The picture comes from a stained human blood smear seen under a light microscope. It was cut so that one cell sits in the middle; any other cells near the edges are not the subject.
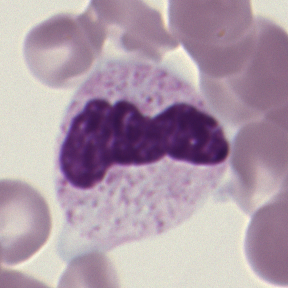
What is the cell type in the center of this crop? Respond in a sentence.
The target cell in the middle of the crop is a segmented neutrophil.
